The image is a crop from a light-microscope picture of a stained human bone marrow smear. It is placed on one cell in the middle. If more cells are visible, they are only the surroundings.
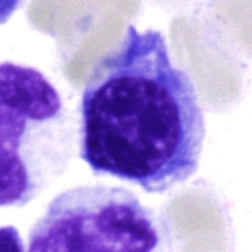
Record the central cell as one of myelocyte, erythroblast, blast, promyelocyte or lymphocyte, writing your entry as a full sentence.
The centrally located cell in the crop is an erythroblast.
